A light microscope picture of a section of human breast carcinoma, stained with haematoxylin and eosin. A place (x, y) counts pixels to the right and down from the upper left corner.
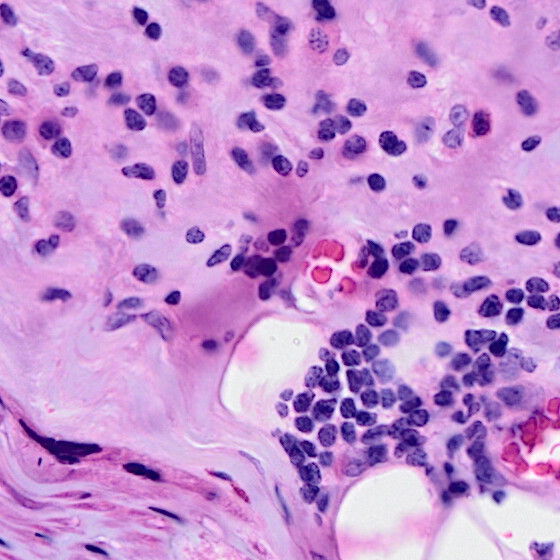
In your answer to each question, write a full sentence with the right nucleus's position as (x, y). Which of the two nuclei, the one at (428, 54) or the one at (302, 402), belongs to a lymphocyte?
So, of the two, the nucleus at (302, 402) is the one belonging to a lymphocyte.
